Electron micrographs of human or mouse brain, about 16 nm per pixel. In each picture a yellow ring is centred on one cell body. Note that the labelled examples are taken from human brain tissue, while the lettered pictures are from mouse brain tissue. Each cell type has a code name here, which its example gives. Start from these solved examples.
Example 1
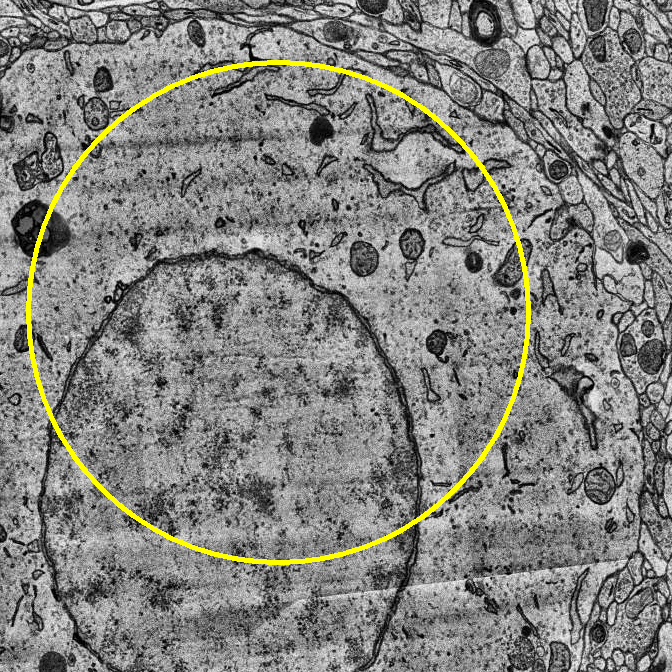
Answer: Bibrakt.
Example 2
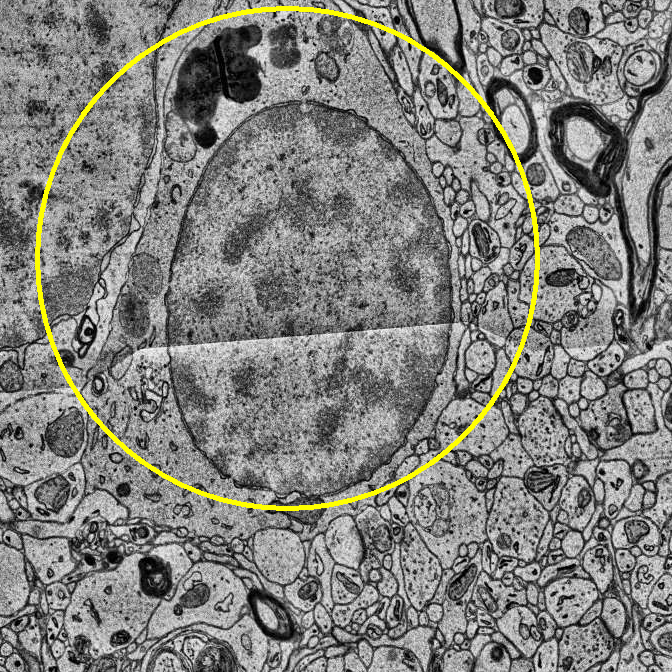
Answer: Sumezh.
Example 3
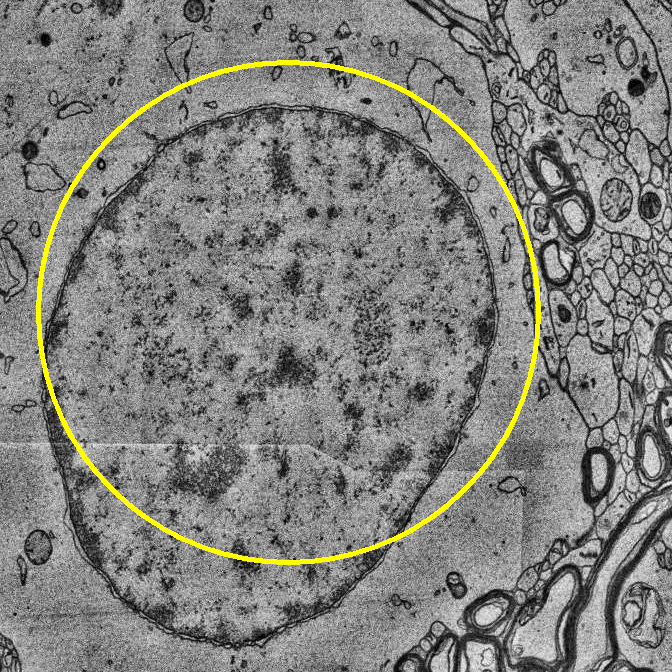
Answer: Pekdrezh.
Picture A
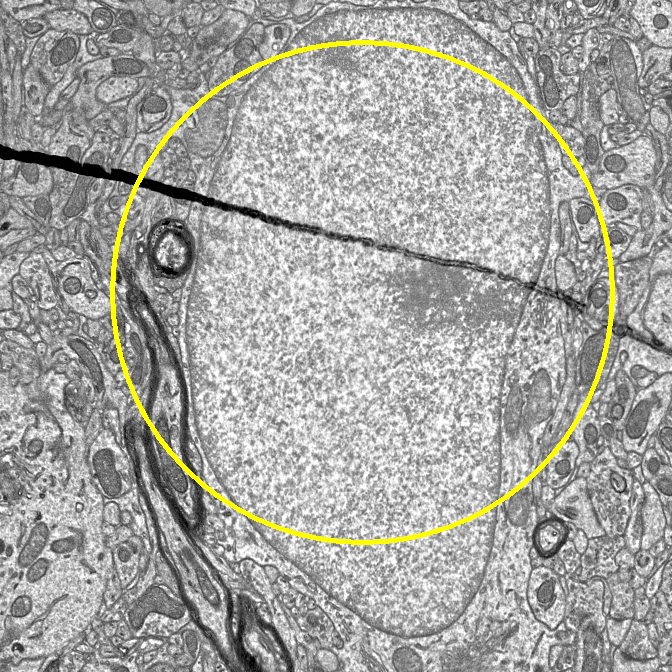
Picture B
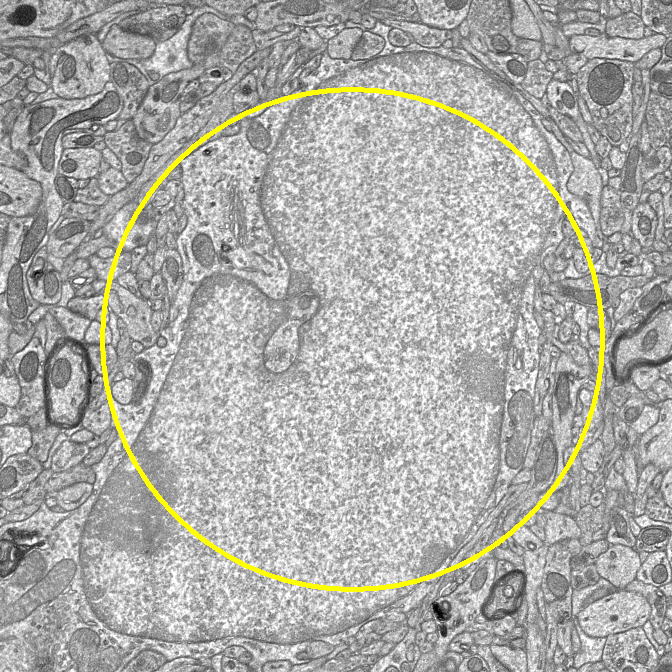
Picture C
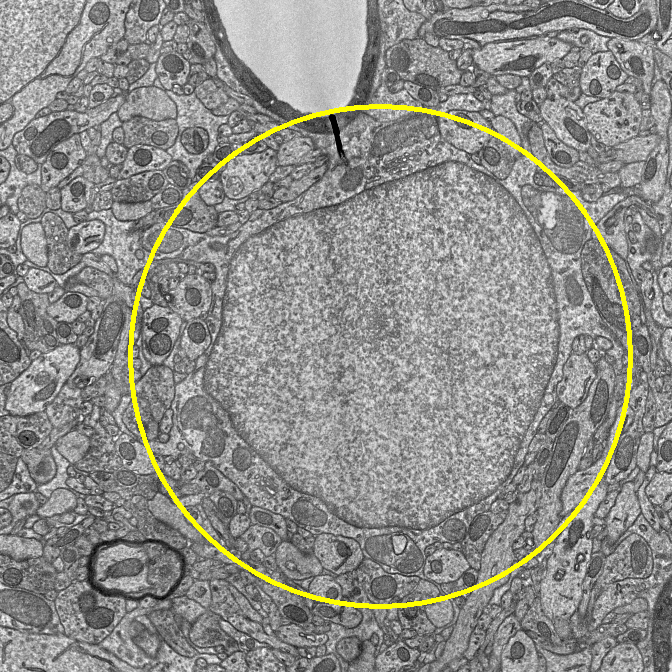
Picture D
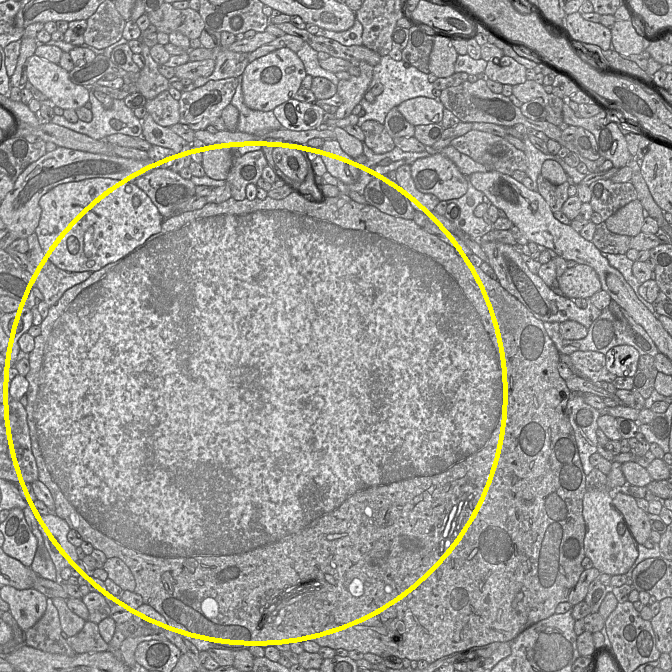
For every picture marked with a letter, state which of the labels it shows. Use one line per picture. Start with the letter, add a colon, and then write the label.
A: Pekdrezh.
B: Pekdrezh.
C: Pekdrezh.
D: Sumezh.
